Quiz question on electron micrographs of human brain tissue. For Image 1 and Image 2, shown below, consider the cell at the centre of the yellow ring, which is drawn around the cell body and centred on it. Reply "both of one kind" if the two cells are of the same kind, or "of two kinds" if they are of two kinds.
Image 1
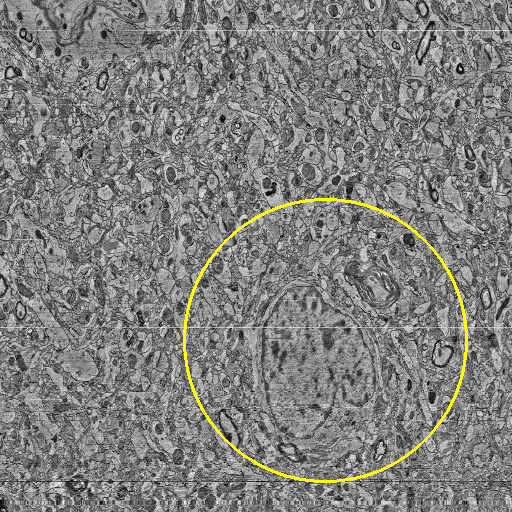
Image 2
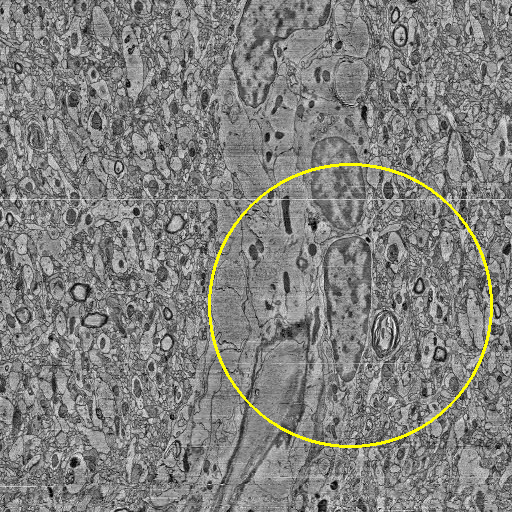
both of one kind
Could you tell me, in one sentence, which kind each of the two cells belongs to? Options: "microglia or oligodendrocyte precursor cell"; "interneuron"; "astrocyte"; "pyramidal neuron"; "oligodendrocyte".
The ring centre holds a microglial cell or oligodendrocyte precursor cell in each of the two pictures.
